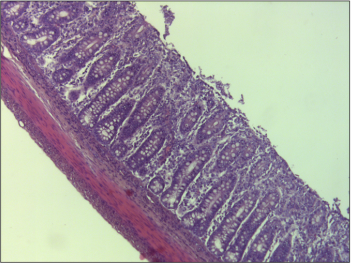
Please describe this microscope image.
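This section of colon wall shows a mucosa made of straight, closely packed crypts running perpendicular to the luminal surface, without villi. The crypts are lined by a single layer of columnar epithelium rich in pale, vacuolated goblet cells, with purple-staining lamina propria between them. Beneath the mucosa lies a pink band of smooth muscle.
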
